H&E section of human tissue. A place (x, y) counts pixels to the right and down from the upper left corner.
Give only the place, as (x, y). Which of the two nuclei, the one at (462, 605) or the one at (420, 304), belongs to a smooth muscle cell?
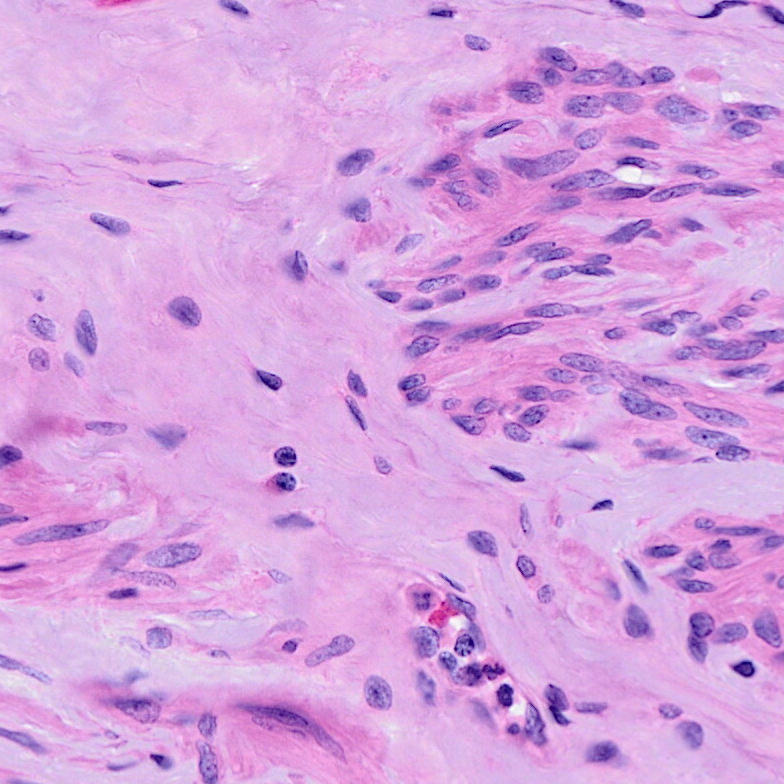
(420, 304)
